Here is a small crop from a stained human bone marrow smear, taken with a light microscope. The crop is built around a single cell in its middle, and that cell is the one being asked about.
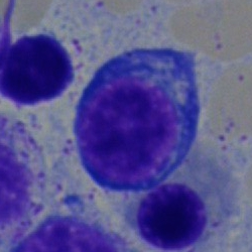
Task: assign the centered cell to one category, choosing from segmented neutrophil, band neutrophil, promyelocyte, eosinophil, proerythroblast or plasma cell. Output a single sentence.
The cell at the middle of the crop is recognized as a proerythroblast.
